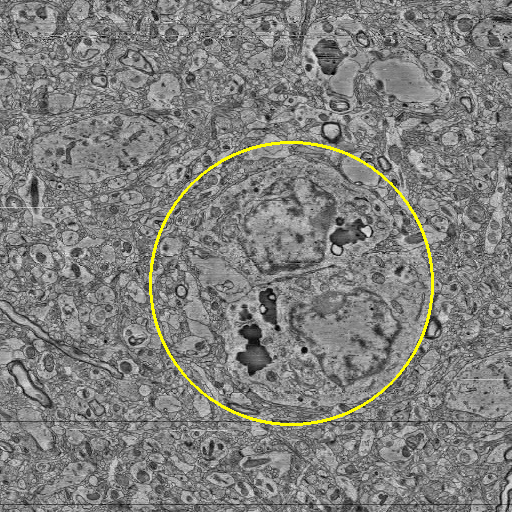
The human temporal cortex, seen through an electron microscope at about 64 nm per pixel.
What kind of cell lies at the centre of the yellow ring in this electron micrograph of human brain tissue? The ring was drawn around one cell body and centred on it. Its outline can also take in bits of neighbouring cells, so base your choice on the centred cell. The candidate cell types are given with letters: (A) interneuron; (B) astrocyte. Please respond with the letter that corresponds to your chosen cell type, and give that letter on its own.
A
